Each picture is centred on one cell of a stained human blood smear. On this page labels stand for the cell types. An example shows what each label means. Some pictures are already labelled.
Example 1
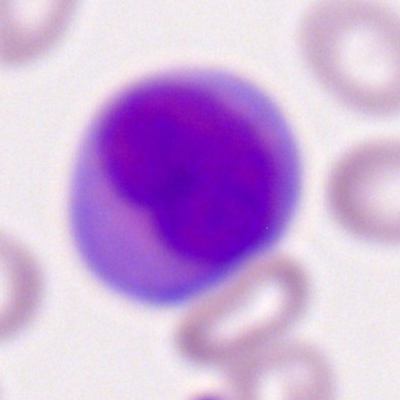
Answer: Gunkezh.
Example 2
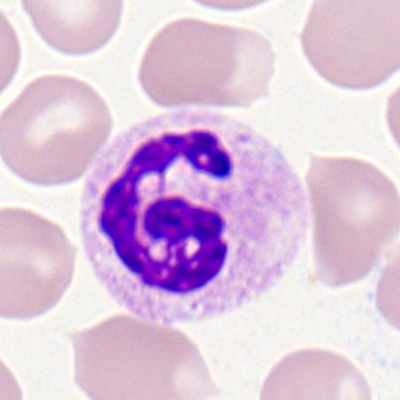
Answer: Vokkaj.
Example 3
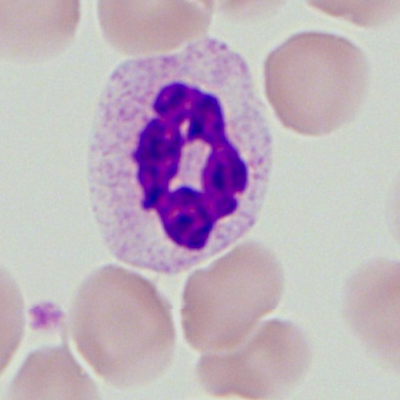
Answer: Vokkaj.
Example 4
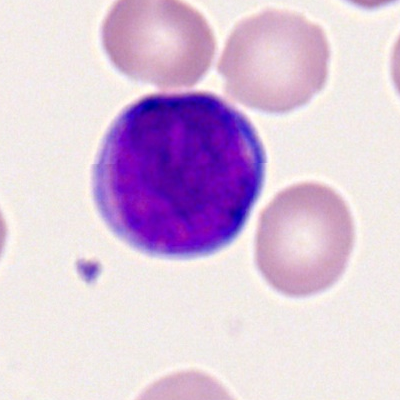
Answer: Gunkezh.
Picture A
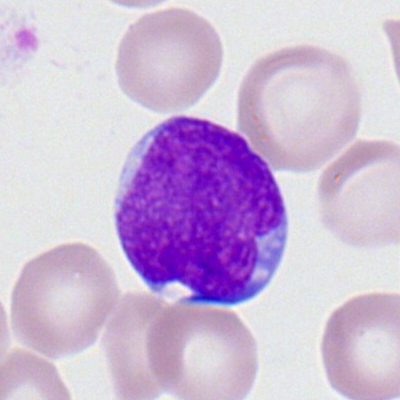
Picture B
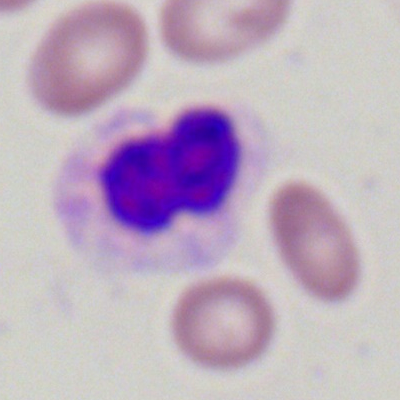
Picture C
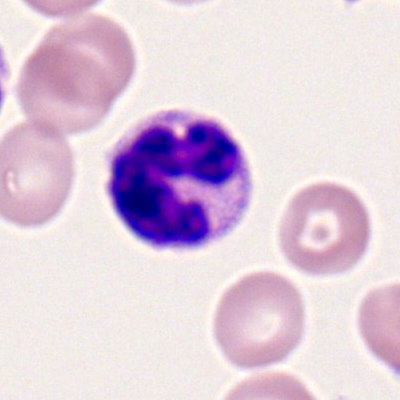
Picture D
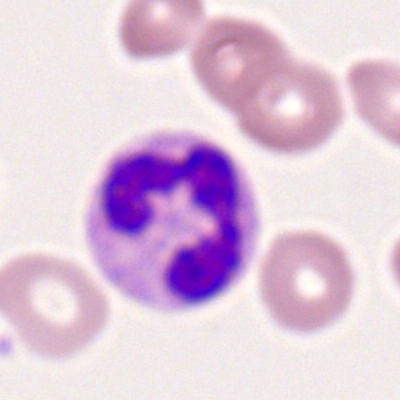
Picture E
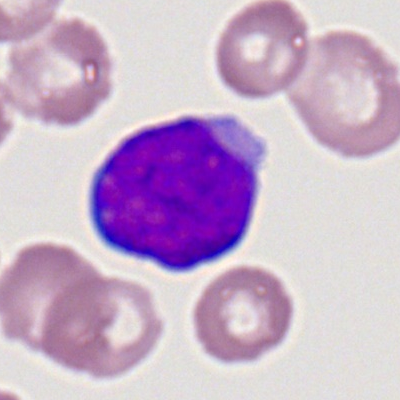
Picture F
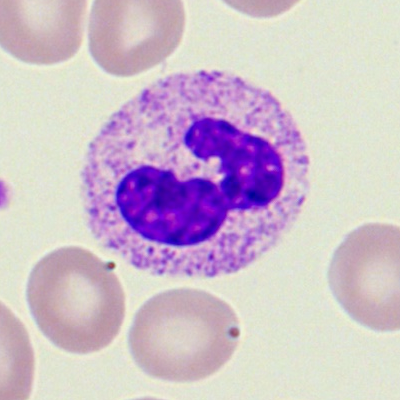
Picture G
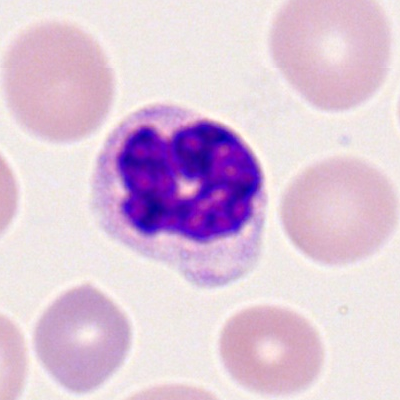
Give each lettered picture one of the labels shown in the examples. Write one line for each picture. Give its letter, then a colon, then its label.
A: Gunkezh.
B: Vokkaj.
C: Vokkaj.
D: Vokkaj.
E: Gunkezh.
F: Vokkaj.
G: Vokkaj.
